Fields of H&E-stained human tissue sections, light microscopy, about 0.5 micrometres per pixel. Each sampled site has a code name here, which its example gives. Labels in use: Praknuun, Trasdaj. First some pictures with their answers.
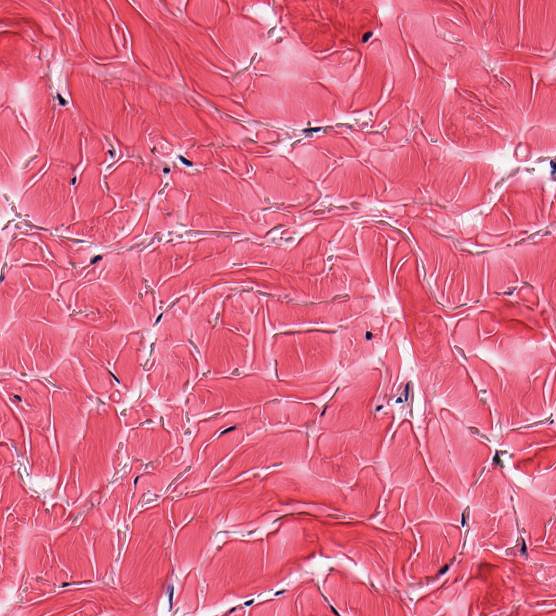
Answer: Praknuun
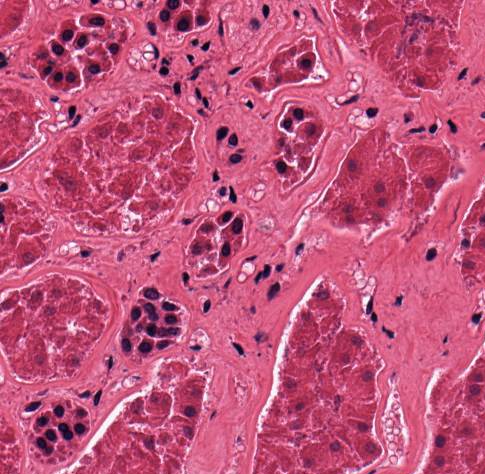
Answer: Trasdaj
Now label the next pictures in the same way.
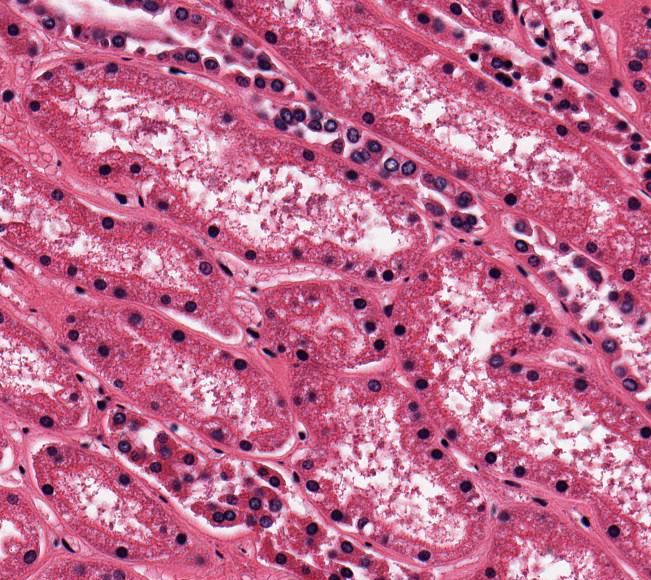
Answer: Trasdaj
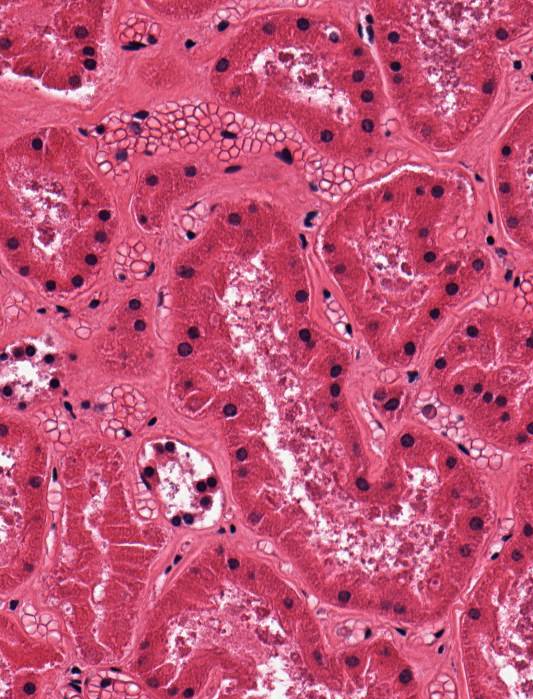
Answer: Trasdaj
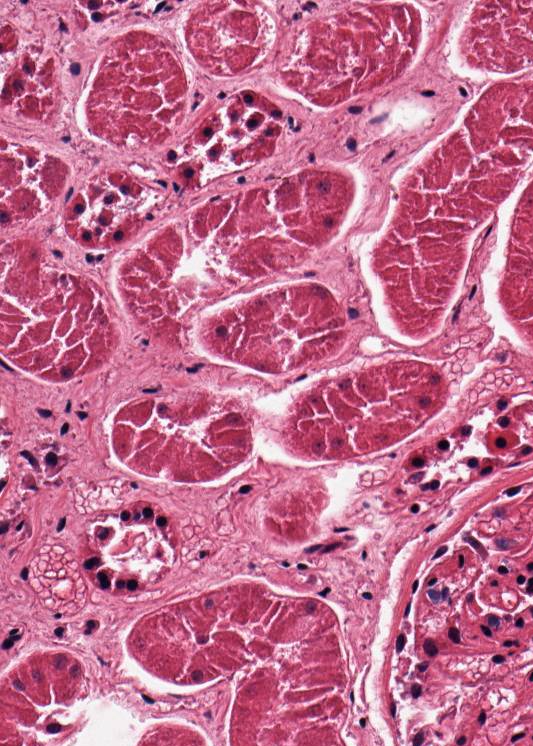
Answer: Trasdaj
